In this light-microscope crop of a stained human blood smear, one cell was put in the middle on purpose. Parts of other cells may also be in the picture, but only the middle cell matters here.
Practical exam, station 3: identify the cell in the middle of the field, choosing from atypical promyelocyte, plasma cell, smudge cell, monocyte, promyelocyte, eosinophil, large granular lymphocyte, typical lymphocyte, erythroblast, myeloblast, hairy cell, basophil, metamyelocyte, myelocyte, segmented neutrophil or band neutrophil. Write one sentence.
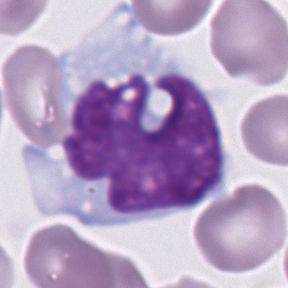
This crop's central cell is a myeloblast.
